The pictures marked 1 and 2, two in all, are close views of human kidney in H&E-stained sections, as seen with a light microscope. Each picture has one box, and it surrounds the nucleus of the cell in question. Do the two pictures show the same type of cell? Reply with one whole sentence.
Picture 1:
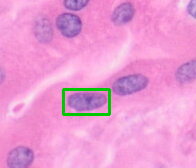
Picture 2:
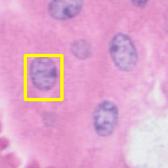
Yes; the cells in both pictures are proximal tubule cells.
